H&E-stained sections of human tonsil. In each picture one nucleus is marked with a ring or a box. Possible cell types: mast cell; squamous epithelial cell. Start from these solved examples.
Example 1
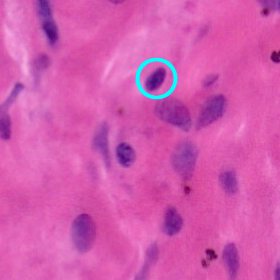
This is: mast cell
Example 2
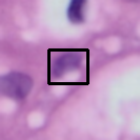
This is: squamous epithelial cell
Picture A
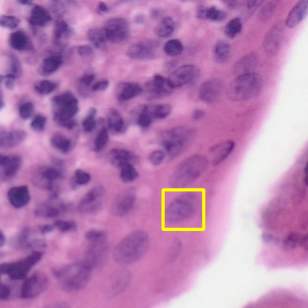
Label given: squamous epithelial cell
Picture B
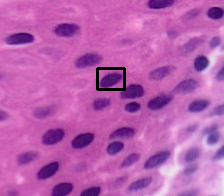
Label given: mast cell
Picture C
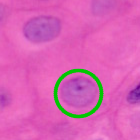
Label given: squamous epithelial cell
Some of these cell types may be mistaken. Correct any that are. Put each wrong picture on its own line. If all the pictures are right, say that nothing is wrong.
B: change mast cell to squamous epithelial cell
